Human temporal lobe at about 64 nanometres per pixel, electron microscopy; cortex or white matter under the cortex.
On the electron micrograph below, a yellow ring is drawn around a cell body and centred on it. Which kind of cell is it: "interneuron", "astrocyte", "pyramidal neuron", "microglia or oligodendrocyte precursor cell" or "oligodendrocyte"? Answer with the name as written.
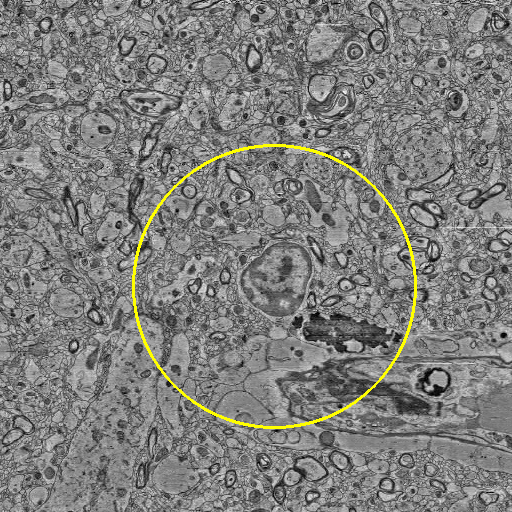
microglia or oligodendrocyte precursor cell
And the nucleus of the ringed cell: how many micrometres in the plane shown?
About 5 micrometres across in this plane.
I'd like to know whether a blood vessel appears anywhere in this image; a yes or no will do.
Yes, one shows.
